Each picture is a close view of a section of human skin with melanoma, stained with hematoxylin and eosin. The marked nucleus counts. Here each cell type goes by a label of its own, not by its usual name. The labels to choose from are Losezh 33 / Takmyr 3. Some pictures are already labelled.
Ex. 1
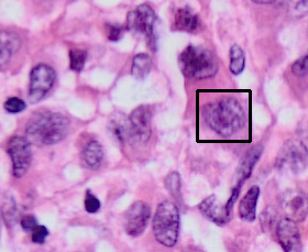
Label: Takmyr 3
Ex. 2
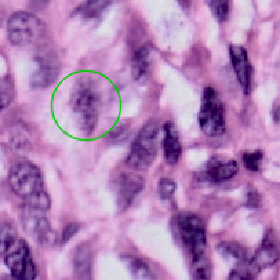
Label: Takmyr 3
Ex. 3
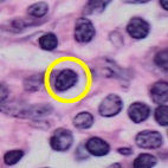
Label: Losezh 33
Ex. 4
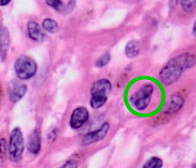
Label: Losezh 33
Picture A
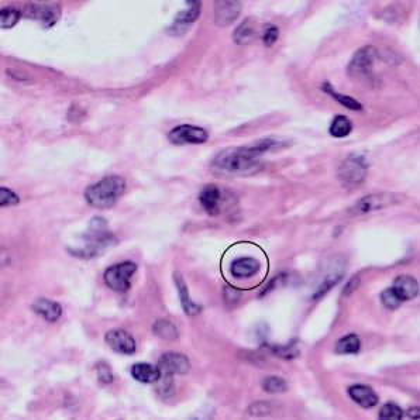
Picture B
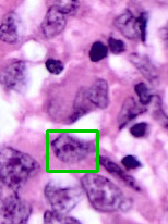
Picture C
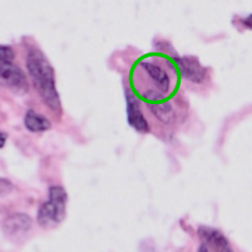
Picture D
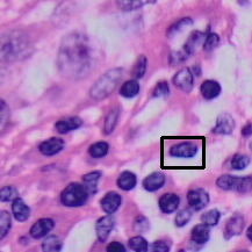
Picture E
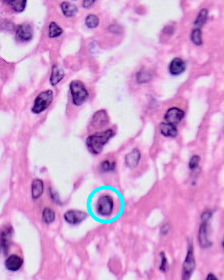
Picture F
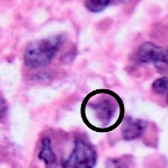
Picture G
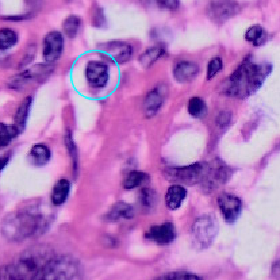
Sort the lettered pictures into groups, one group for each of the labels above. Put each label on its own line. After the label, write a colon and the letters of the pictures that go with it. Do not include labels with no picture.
Losezh 33: A, D, E, G
Takmyr 3: B, C, F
